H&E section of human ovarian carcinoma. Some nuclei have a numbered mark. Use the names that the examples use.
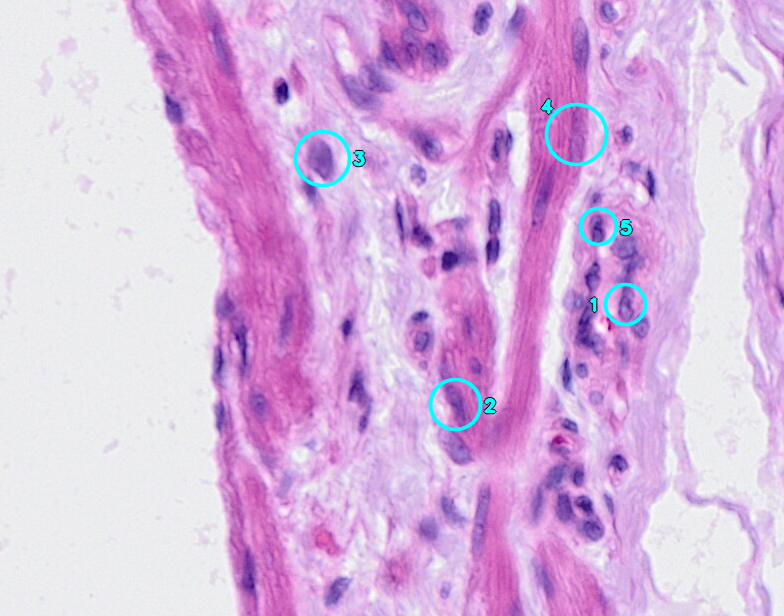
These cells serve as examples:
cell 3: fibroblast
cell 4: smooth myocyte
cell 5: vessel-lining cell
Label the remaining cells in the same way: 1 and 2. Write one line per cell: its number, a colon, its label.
1: vessel-lining cell
2: smooth myocyte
